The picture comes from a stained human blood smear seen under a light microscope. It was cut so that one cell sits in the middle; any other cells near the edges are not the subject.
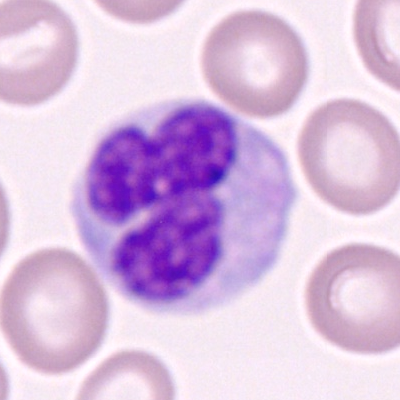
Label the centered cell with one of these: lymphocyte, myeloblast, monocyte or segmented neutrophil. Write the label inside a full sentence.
The cell at the middle of the crop is recognized as a monocyte.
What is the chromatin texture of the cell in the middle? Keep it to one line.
This nucleus has coarsely clumped chromatin.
